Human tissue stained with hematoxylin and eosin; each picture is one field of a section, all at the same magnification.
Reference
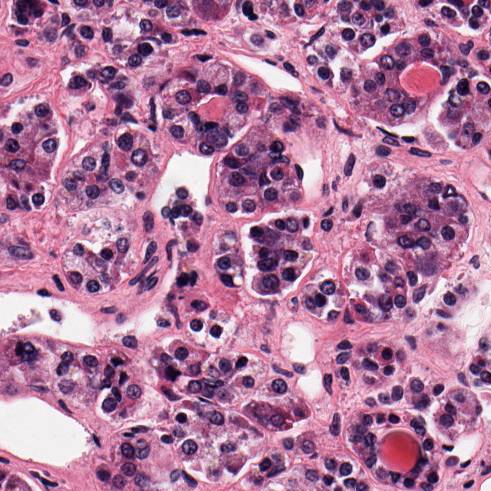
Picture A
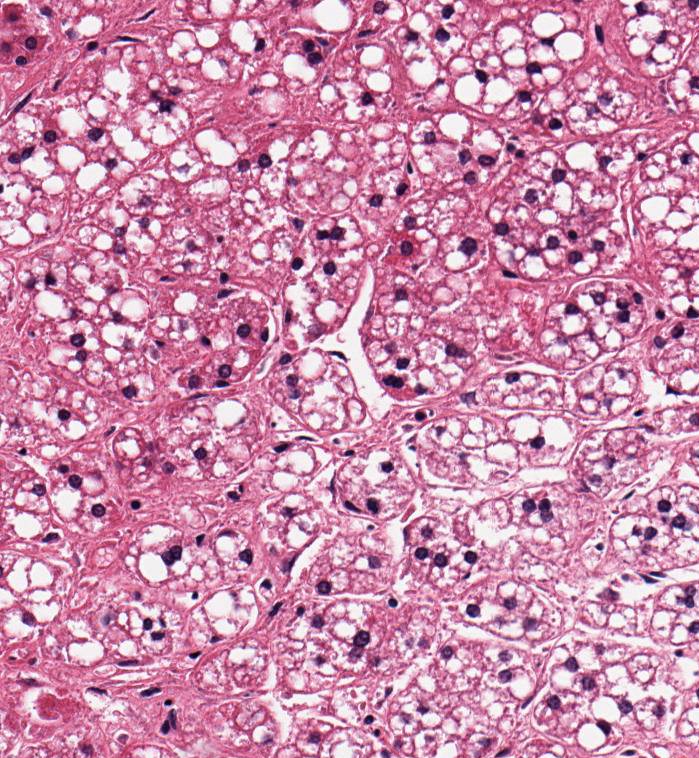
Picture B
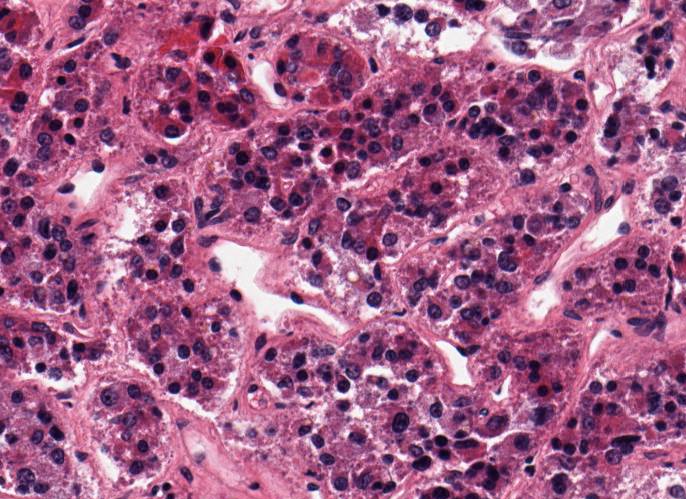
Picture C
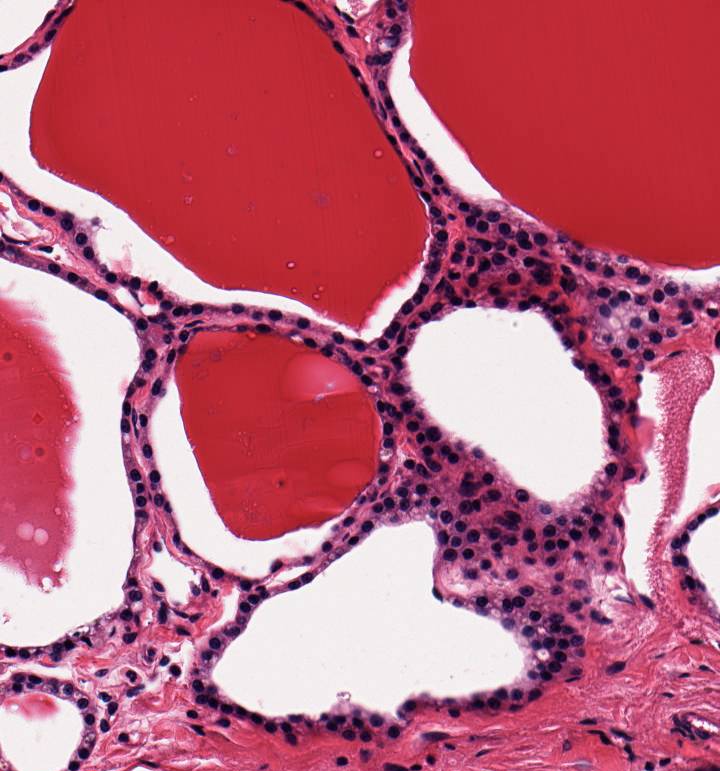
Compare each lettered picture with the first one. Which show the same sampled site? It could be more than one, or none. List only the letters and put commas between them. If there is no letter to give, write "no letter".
B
